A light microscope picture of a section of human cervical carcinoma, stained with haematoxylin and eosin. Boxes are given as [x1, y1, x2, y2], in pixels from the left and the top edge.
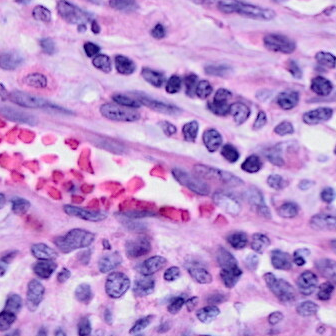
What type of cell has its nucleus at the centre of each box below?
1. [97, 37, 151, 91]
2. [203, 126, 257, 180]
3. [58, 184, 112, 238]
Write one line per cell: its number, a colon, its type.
1: lymphocyte
2: lymphocyte
3: endothelial cell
